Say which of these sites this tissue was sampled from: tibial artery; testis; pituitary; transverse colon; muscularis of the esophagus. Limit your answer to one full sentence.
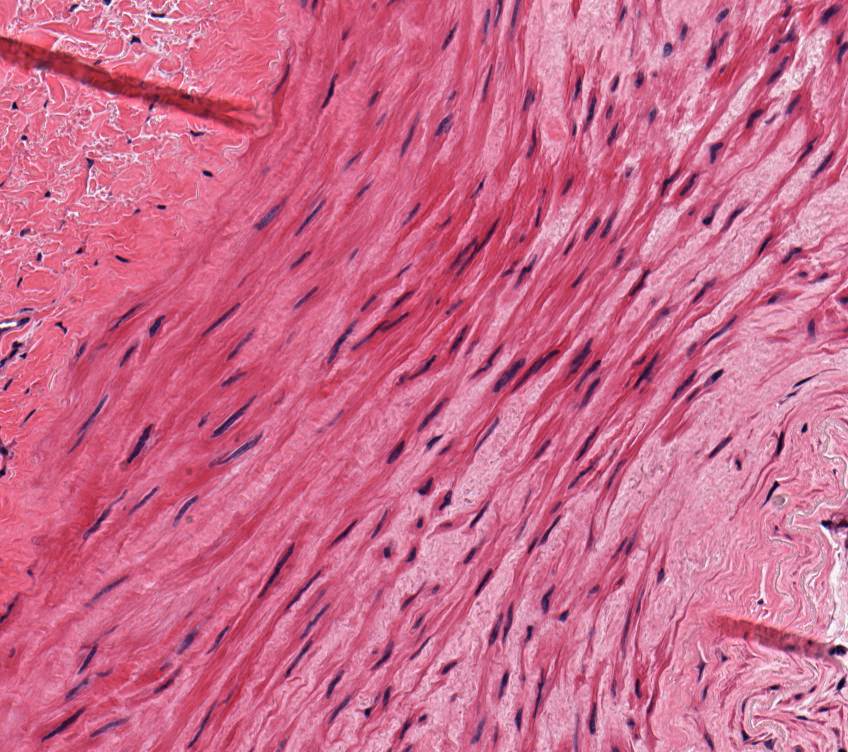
This tissue section originates from the tibial artery.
